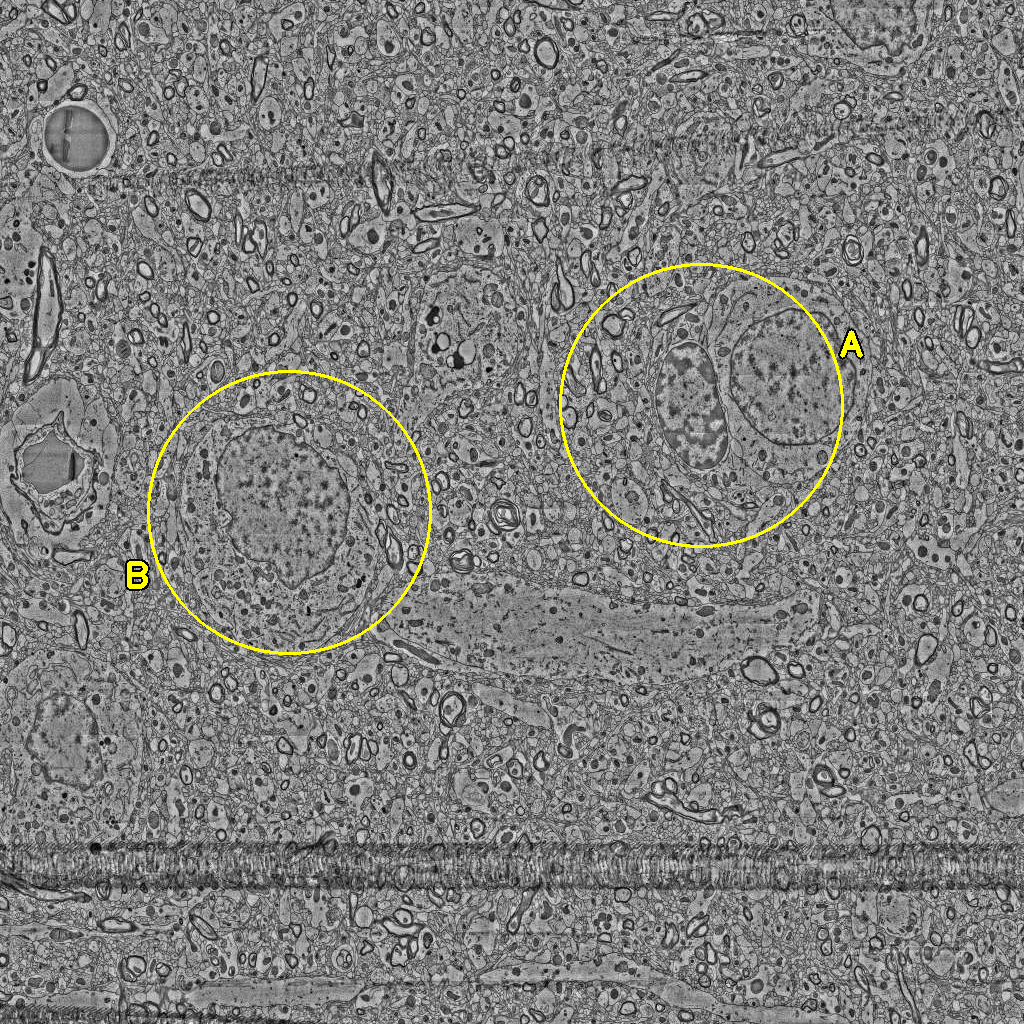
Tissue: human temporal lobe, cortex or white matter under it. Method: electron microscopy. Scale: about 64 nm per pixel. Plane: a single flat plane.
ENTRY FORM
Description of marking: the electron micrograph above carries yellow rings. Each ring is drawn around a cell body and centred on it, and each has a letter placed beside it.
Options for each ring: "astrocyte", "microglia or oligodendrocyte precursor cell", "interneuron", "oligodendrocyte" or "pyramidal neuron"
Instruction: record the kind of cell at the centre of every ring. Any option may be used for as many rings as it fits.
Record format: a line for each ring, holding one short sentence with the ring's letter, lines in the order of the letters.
Ring A surrounds the cell body of a microglial cell or oligodendrocyte precursor cell.
Ring B surrounds the cell body of an interneuron.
